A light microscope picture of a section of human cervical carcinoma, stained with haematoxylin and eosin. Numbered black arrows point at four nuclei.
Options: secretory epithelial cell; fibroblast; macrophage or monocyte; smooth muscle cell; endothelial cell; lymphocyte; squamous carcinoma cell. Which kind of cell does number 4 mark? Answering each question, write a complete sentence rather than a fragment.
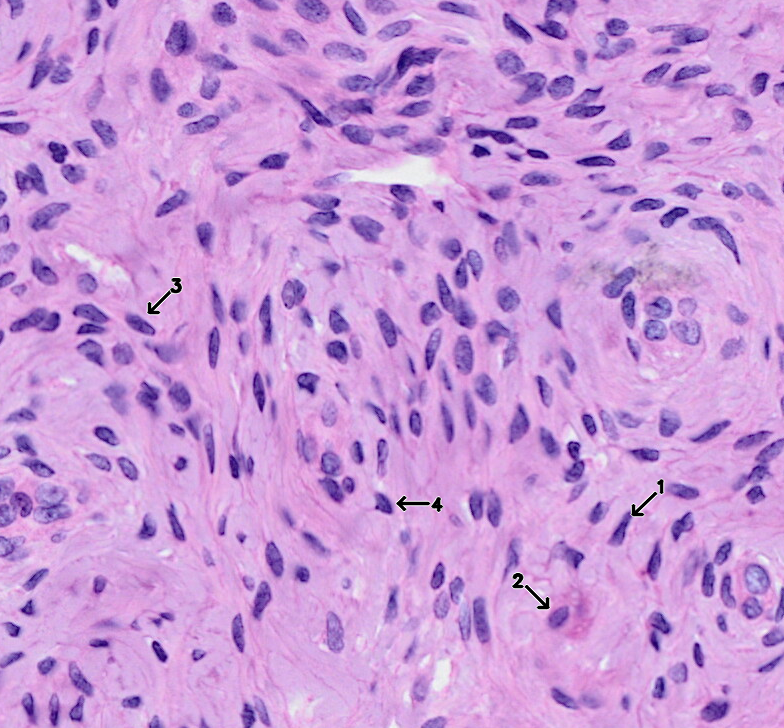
In the tissue shown, cell 4 is a fibroblast.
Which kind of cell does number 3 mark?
The cell numbered 3 represents a fibroblast.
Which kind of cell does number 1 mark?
The numeral 1 marks a fibroblast in this section.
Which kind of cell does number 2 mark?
The label 2 in this section denotes a smooth muscle cell.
